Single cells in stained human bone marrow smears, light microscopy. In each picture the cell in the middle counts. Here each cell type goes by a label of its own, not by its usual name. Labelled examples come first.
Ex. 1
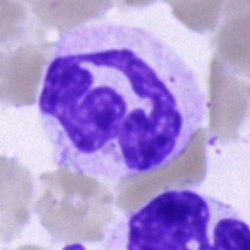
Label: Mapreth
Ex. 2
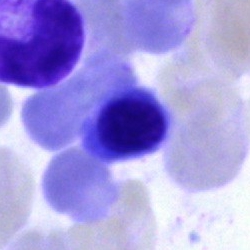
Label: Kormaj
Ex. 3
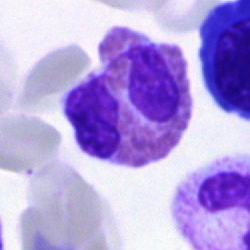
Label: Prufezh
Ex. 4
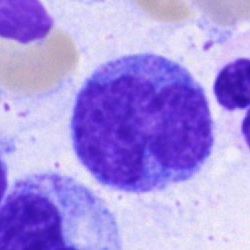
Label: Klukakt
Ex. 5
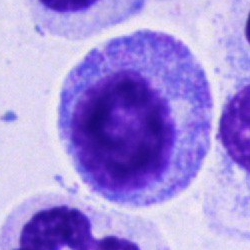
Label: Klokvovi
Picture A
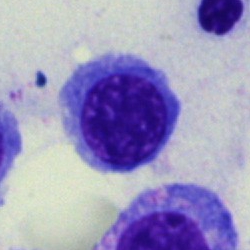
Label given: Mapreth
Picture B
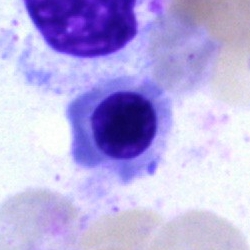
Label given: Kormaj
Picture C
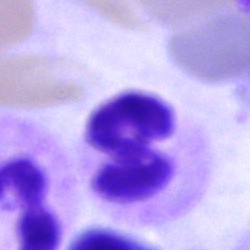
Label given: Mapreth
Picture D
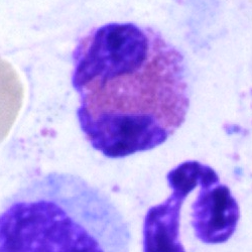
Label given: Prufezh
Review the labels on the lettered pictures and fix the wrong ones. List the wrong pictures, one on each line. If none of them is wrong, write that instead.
A: Kormaj, not Mapreth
